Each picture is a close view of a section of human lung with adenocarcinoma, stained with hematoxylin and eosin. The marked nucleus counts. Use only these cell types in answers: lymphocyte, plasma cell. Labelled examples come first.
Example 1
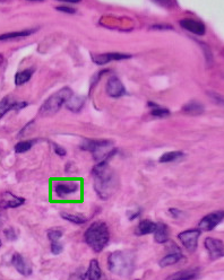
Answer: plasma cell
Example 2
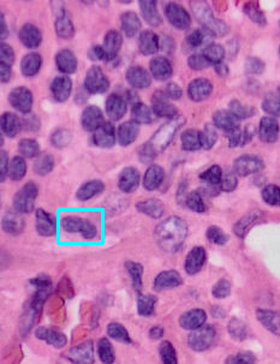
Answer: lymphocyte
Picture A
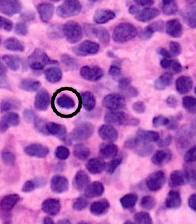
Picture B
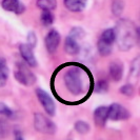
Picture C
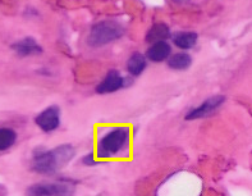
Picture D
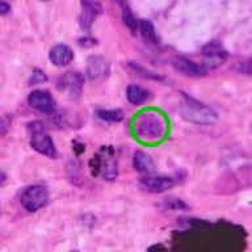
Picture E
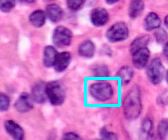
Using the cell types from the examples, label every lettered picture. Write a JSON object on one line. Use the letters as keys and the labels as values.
{"A": "lymphocyte", "B": "lymphocyte", "C": "plasma cell", "D": "plasma cell", "E": "lymphocyte"}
